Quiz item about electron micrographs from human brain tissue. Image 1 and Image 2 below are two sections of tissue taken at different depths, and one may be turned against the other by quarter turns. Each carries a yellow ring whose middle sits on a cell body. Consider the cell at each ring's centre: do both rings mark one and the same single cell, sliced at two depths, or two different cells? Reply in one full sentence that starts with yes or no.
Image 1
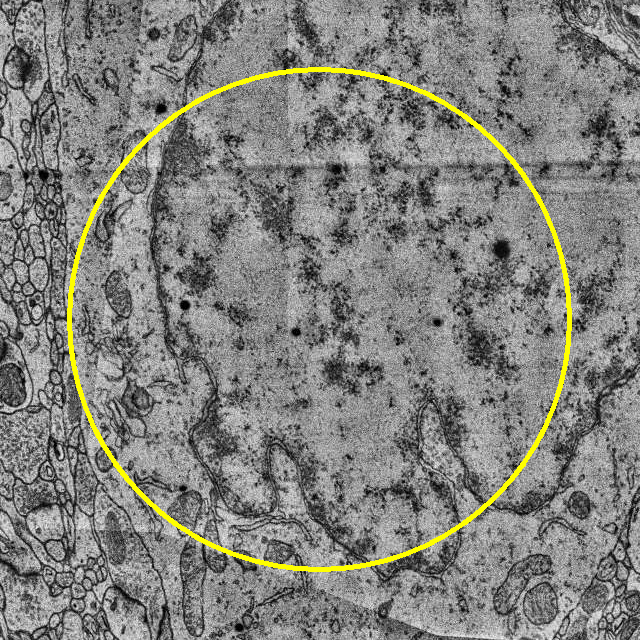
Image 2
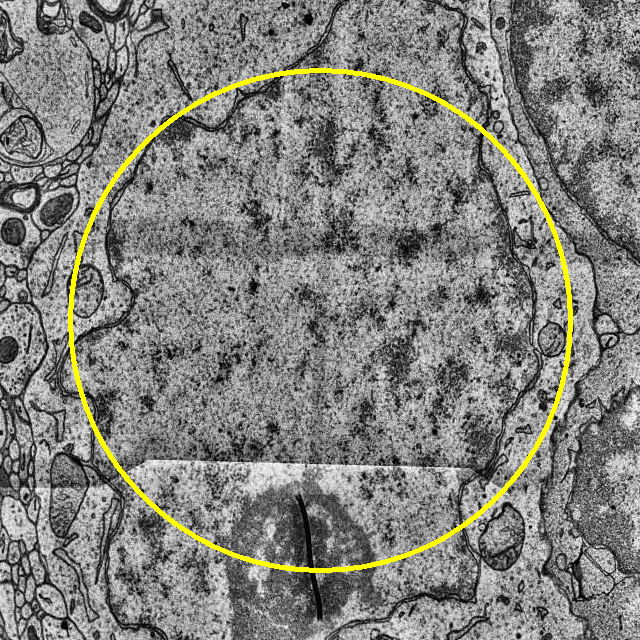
No, these two rings belong to two distinct cells.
